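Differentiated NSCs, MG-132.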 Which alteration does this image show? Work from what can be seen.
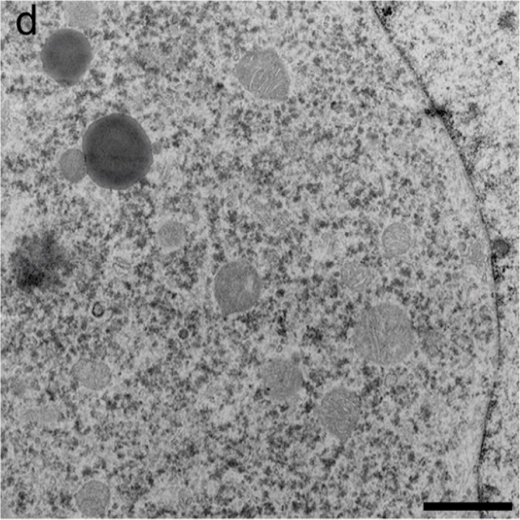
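Most of the field is filled with small dark granules. Mitochondria with cristae lie among the granules. Round dense vesicles sit within the granular material.
Answer: electron-dense fine granular materials intermingled with mitochondria and lysosomal vesicles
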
